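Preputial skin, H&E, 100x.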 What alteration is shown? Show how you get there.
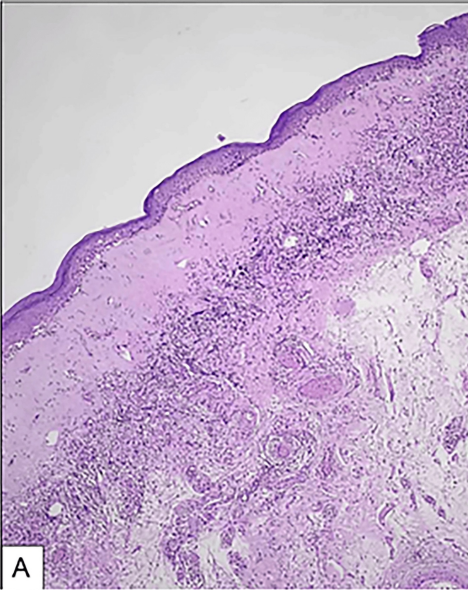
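The epidermis lacks deep rete ridges projecting into the dermis.
Hence: atrophic epidermis.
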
